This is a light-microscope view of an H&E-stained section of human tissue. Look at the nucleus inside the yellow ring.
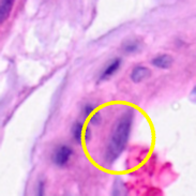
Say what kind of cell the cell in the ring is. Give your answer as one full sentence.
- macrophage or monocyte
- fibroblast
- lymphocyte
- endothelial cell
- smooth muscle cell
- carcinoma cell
Within this tissue, the cell in the ring is an endothelial cell.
